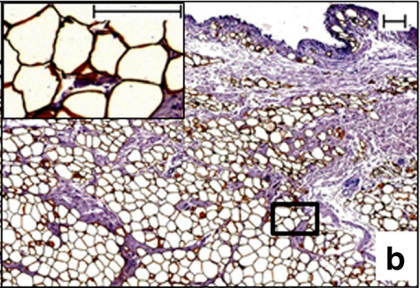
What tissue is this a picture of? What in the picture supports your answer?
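Most of the field is filled with closely packed large empty cells.
Conclusion: adipose tissue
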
